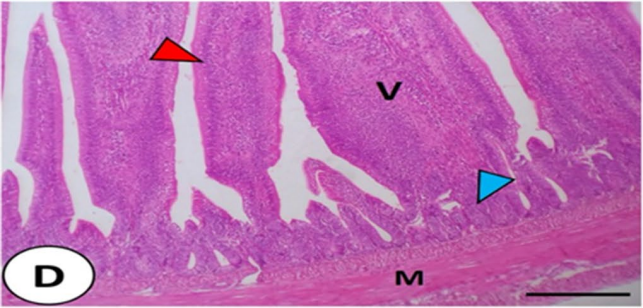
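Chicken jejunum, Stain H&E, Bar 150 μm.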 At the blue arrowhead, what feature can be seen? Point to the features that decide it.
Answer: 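The arrowhead points at the base of the projections, near the pink muscle band at the bottom. Small tubular spaces lined by purple cells lie between the bases of the projections. That points to this answer: simple tubular glands.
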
